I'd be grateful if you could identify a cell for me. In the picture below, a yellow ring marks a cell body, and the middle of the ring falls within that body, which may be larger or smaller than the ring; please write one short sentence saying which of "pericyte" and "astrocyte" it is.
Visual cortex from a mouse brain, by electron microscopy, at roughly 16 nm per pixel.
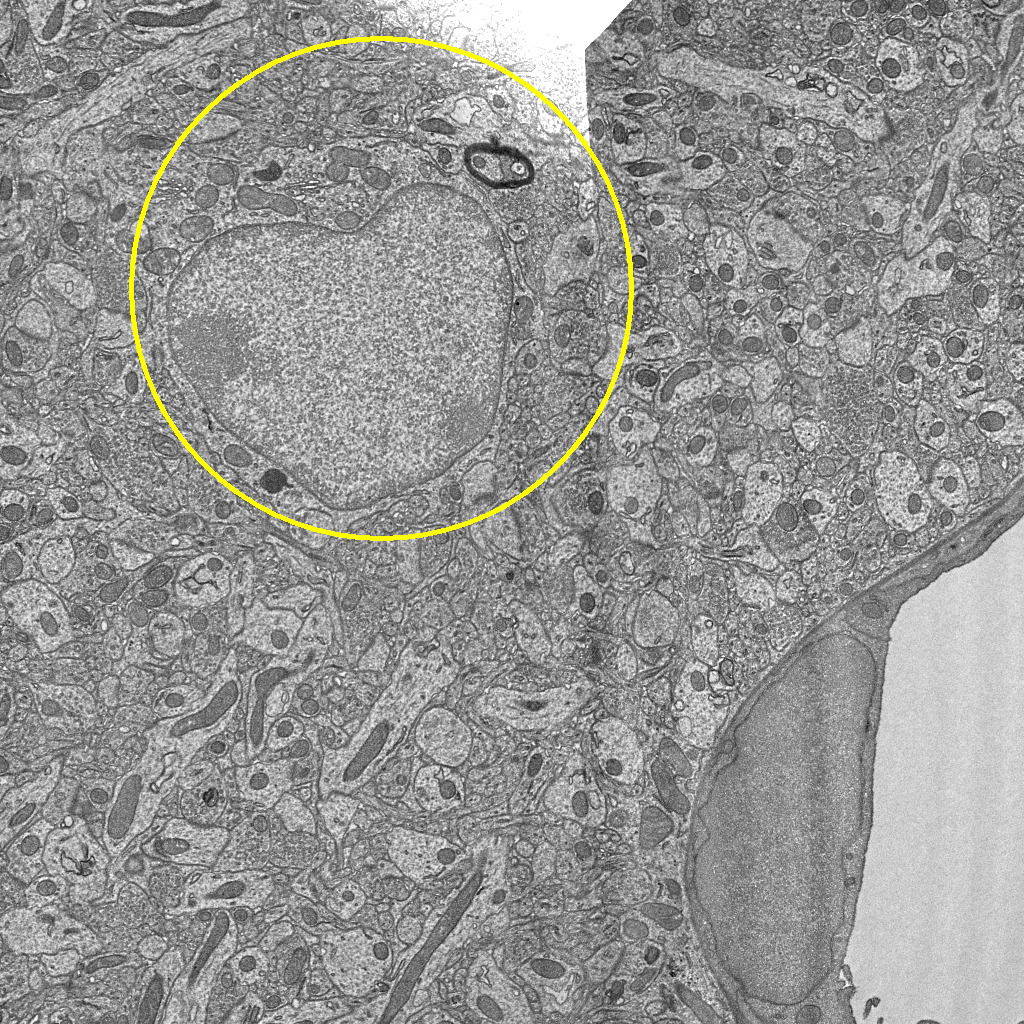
The cell under the ring's centre is an astrocyte.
